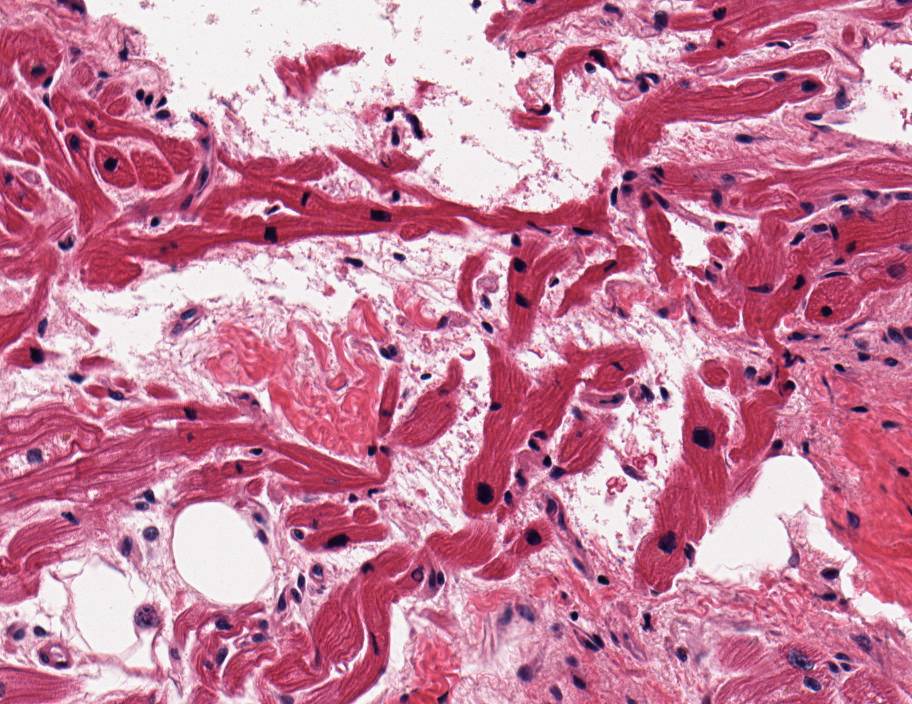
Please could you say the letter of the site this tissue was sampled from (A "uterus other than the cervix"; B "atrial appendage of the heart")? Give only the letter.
B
